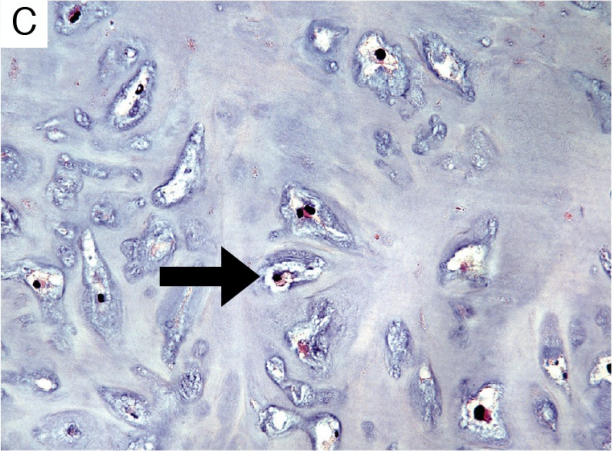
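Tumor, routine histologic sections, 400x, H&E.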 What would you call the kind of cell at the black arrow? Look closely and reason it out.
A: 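Chondrocytes. Each cell sits in a clear space within a homogeneous pale bluish matrix. Nuclei are small, round and dark.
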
